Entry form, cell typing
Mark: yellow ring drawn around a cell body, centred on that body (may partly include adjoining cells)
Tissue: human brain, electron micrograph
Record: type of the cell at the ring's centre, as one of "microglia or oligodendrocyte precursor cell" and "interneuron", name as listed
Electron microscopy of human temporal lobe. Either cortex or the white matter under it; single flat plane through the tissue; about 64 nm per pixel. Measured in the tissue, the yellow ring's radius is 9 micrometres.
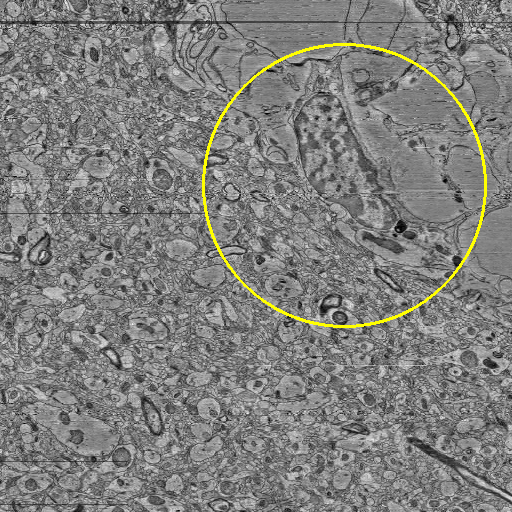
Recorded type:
microglia or oligodendrocyte precursor cell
